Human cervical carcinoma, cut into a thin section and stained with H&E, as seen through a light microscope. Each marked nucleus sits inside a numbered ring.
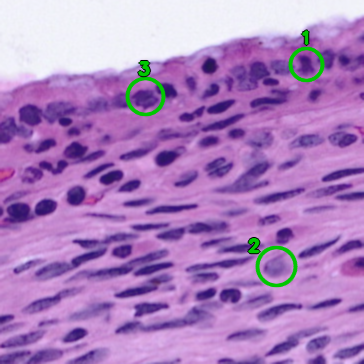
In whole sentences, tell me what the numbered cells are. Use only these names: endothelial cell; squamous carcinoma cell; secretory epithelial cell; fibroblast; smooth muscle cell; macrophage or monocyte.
Cell 1 is a secretory epithelial cell, cell 2 is a fibroblast and cell 3 is a secretory epithelial cell.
